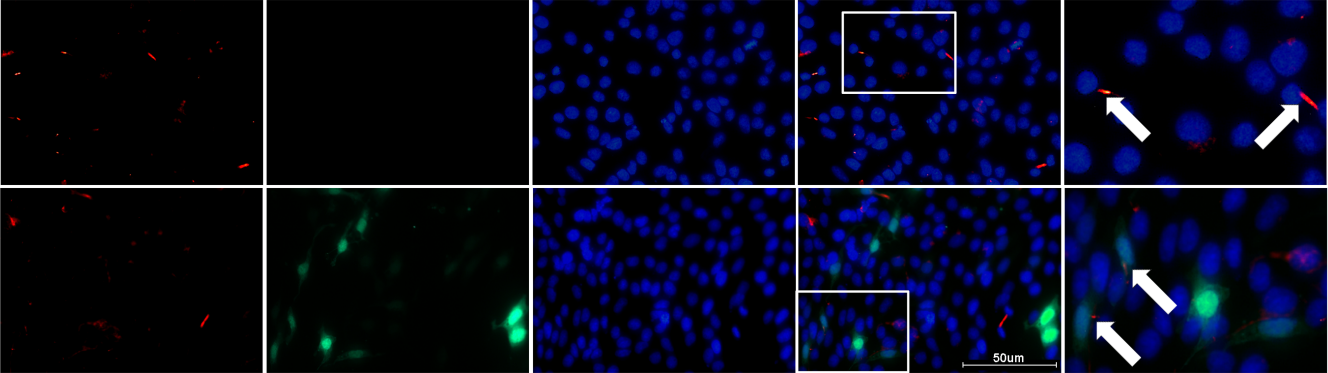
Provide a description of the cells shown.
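These are cultured cells growing as a crowded monolayer, seen with their nuclei in blue and their primary cilia as short red rods. The nuclei are oval, fairly uniform and packed closely side by side, while the red rods are scattered and lie singly next to some of the nuclei, so that not every cell carries one. In the lower row some cells are filled with green through the nucleus and cytoplasm, and several of these are drawn out into spindle shapes with thin processes. In the enlarged views the white arrows pick out the red rods sitting at the edge of individual nuclei.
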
